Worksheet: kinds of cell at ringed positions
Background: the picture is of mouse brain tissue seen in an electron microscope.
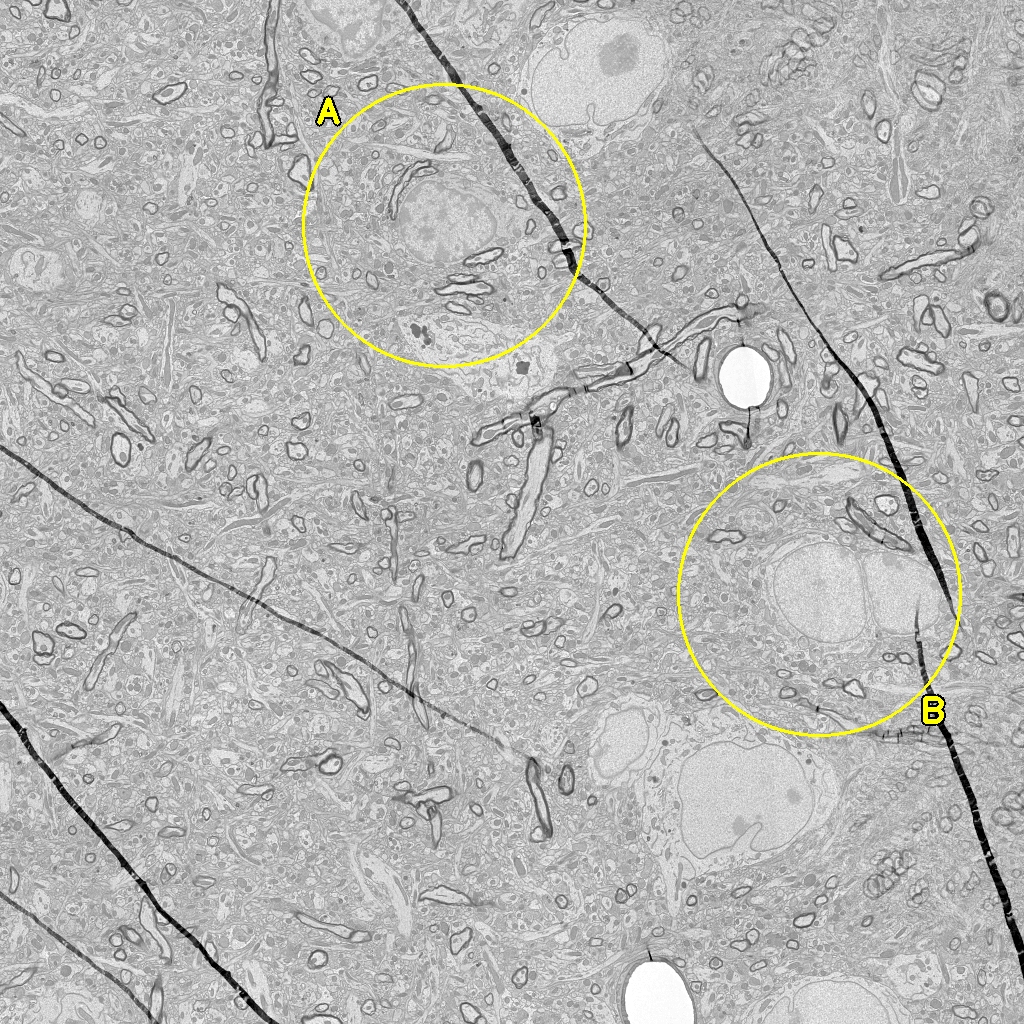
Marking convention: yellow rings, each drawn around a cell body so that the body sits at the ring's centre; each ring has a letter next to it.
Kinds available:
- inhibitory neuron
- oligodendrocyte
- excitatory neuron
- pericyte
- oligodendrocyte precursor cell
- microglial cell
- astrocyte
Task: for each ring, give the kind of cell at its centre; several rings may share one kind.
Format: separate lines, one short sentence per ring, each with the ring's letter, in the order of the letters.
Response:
Ring A is drawn around an oligodendrocyte.
Ring B is drawn around an astrocyte.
